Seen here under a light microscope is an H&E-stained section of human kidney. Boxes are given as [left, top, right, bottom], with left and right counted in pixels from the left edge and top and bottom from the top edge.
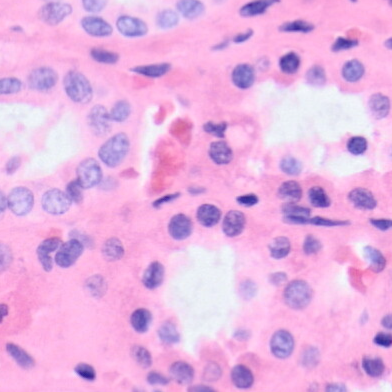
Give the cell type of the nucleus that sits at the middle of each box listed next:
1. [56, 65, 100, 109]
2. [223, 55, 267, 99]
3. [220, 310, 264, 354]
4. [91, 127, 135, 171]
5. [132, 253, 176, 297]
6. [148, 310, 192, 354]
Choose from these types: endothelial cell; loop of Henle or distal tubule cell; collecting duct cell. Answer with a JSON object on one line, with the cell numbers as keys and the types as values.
{"1": "collecting duct cell", "2": "loop of Henle or distal tubule cell", "3": "loop of Henle or distal tubule cell", "4": "collecting duct cell", "5": "loop of Henle or distal tubule cell", "6": "loop of Henle or distal tubule cell"}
